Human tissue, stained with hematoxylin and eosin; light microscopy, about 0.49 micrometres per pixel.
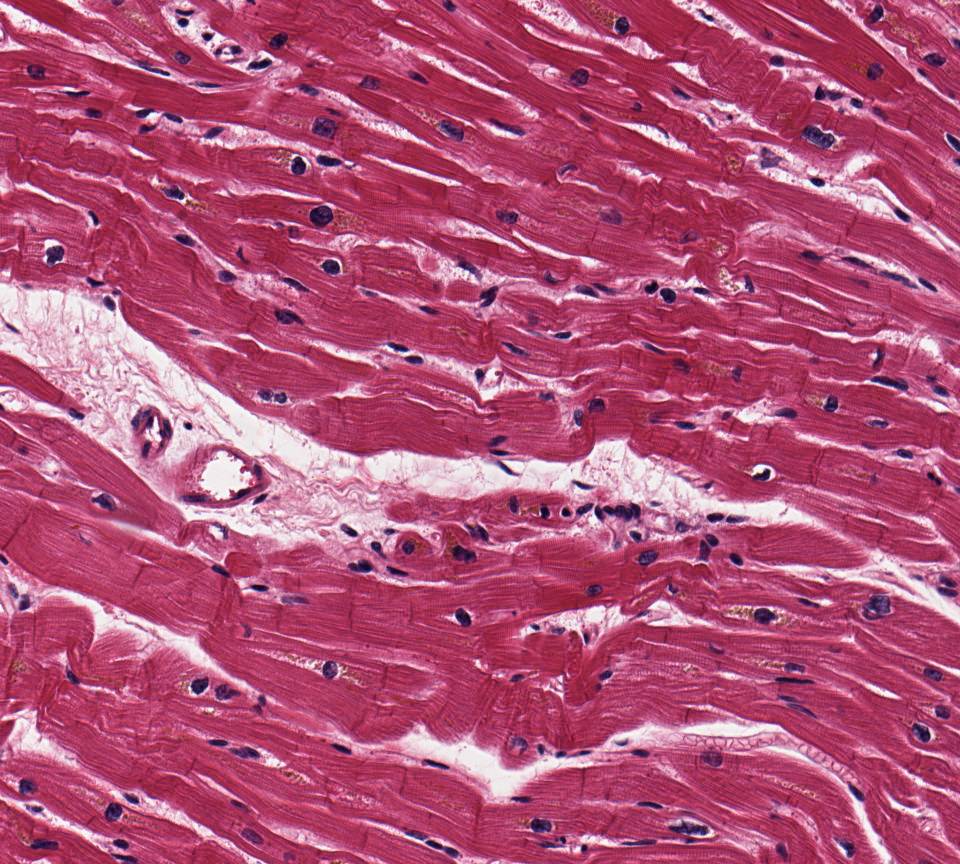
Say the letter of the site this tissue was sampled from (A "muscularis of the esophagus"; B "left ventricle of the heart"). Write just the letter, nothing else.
B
